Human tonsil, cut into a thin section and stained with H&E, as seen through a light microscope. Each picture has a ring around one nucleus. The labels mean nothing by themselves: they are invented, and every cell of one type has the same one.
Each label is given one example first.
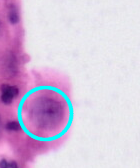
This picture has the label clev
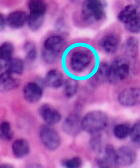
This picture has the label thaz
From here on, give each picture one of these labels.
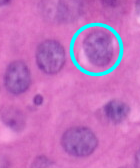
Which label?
clev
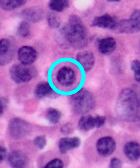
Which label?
thaz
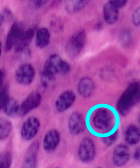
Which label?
thaz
